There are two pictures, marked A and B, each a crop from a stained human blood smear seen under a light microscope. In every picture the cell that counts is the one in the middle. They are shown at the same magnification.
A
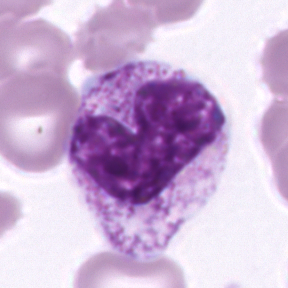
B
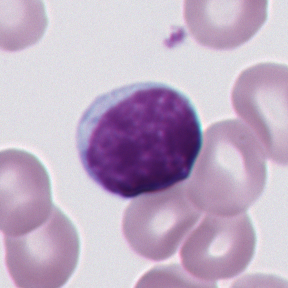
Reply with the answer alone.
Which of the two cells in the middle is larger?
A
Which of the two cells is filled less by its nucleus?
A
